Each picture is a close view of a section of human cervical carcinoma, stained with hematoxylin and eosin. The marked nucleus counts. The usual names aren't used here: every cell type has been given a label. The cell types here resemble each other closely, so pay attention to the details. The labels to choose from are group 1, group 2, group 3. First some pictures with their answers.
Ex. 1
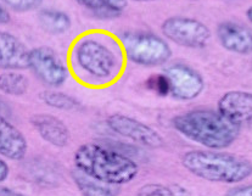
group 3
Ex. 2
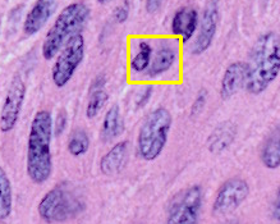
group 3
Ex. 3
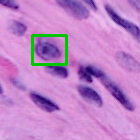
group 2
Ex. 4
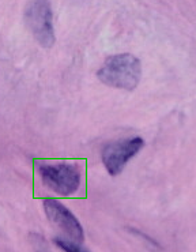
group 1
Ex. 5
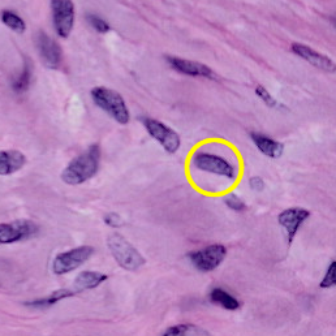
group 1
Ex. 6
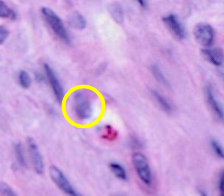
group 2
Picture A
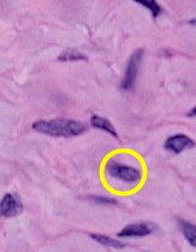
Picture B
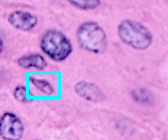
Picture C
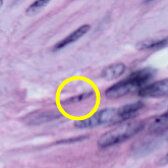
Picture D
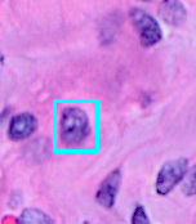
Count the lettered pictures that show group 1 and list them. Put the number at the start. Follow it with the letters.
1, namely A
